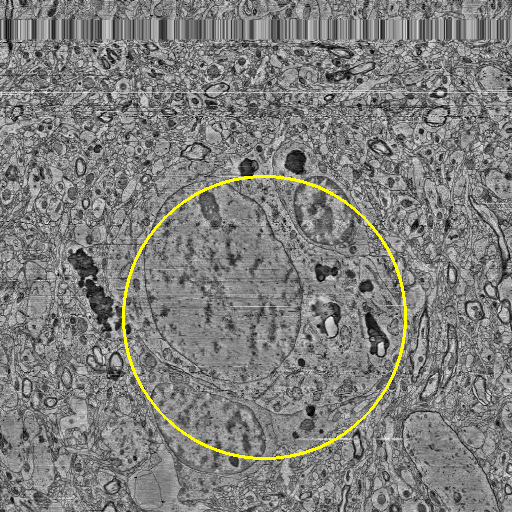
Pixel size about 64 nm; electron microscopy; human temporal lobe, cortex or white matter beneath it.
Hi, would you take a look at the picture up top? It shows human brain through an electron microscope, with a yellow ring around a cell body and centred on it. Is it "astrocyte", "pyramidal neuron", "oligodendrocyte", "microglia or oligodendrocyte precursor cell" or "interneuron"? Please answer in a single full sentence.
The best fit for the cell in the middle of the ring is a pyramidal neuron, I reckon.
